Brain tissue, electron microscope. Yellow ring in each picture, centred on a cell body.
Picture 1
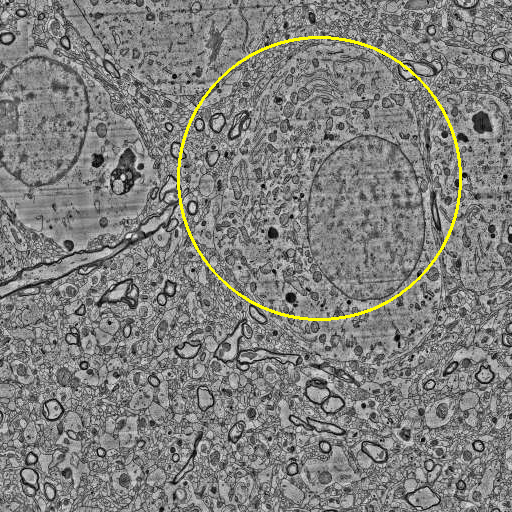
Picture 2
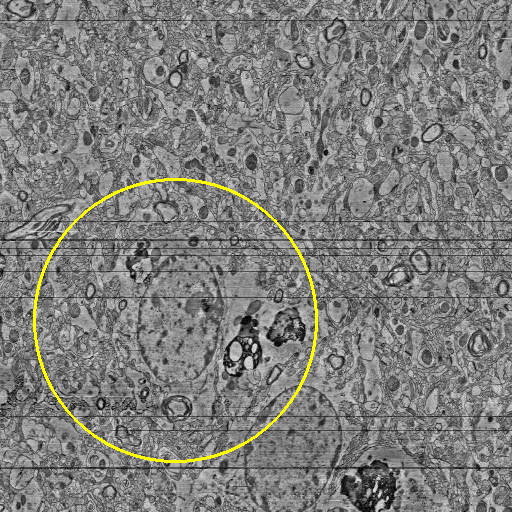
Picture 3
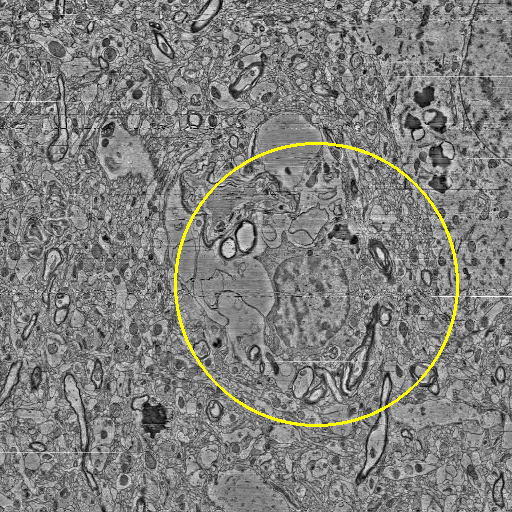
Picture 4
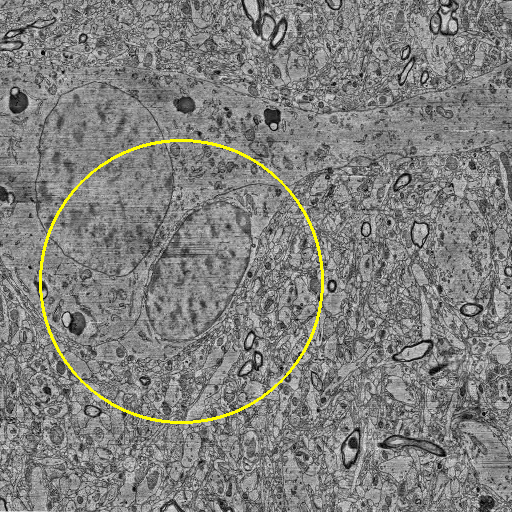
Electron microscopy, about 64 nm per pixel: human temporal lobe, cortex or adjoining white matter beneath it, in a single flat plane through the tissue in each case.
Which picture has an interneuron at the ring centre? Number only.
1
